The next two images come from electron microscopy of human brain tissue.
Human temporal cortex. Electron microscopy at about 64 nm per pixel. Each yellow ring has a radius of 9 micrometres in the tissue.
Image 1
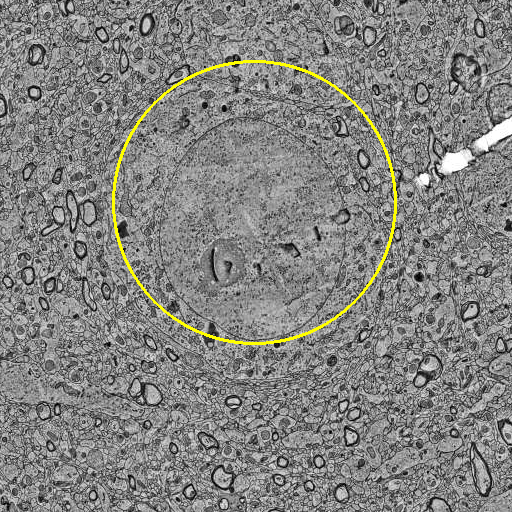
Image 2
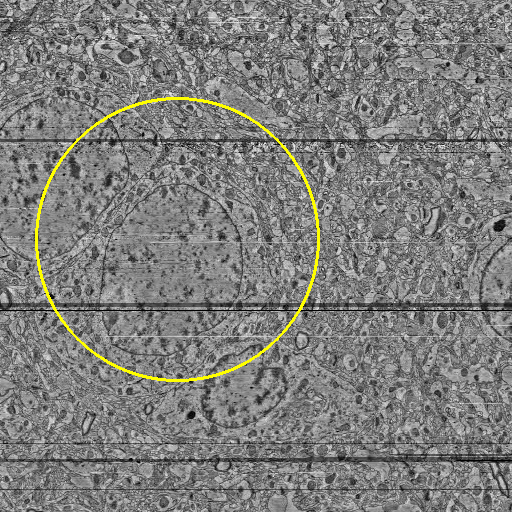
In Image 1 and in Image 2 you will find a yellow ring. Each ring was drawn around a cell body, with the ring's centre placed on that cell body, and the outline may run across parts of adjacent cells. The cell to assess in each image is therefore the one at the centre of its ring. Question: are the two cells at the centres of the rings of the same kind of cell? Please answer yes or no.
yes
